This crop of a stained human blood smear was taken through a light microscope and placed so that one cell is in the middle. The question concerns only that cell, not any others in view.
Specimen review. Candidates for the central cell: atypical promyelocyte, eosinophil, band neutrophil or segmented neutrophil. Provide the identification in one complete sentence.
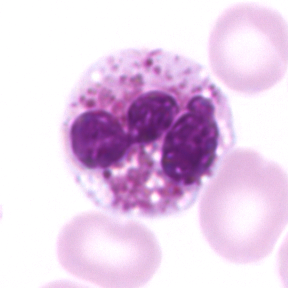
Seen at the centre of the crop is an eosinophil.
